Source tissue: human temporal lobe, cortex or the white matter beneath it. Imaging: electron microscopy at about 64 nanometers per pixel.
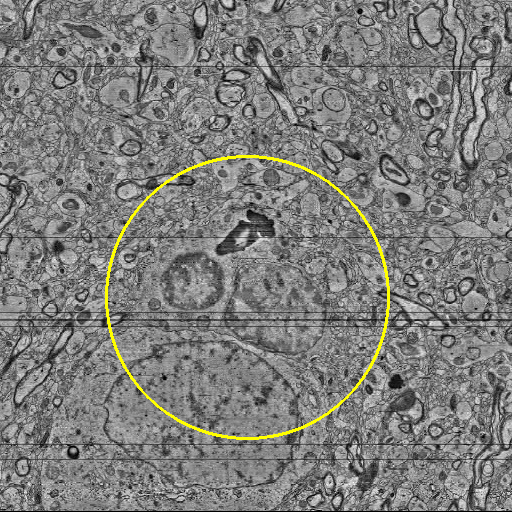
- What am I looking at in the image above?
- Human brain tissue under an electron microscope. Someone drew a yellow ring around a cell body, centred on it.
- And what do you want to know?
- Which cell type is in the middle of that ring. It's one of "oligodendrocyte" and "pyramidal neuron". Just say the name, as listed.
oligodendrocyte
